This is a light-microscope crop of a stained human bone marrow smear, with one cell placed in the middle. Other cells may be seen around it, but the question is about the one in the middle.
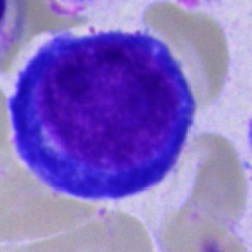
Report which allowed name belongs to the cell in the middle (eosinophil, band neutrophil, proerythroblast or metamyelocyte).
proerythroblast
